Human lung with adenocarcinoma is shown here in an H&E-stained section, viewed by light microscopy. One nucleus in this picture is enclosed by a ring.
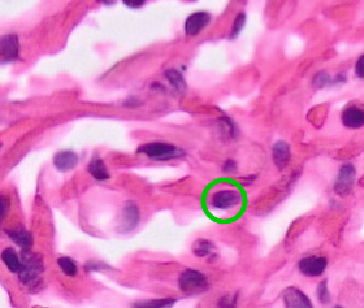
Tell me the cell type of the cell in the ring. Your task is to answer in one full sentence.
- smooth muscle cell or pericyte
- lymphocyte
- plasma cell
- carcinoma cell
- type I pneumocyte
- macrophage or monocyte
In this tissue sample, the cell in the ring is a type I pneumocyte.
